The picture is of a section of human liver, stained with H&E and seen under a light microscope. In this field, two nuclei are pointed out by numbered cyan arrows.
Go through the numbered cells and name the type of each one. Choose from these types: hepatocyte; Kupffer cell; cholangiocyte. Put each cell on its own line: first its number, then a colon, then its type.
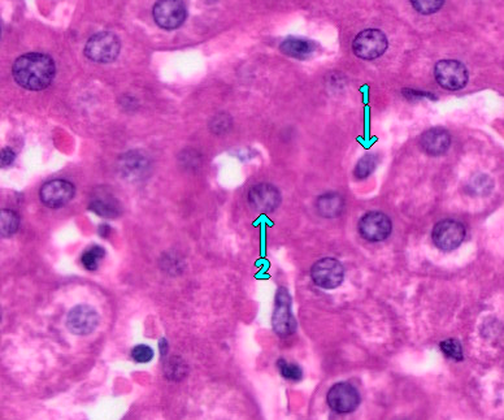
1: Kupffer cell
2: hepatocyte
